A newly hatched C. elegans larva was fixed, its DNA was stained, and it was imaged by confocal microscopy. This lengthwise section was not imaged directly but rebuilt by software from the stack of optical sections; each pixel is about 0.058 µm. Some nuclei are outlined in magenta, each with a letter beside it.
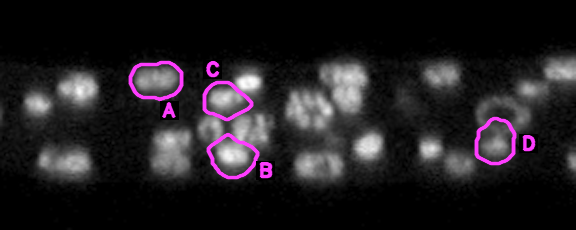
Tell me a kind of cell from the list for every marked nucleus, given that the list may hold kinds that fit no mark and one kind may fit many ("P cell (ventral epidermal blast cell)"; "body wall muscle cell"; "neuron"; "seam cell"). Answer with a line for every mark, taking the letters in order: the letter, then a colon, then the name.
A: seam cell
B: neuron
C: body wall muscle cell
D: body wall muscle cell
